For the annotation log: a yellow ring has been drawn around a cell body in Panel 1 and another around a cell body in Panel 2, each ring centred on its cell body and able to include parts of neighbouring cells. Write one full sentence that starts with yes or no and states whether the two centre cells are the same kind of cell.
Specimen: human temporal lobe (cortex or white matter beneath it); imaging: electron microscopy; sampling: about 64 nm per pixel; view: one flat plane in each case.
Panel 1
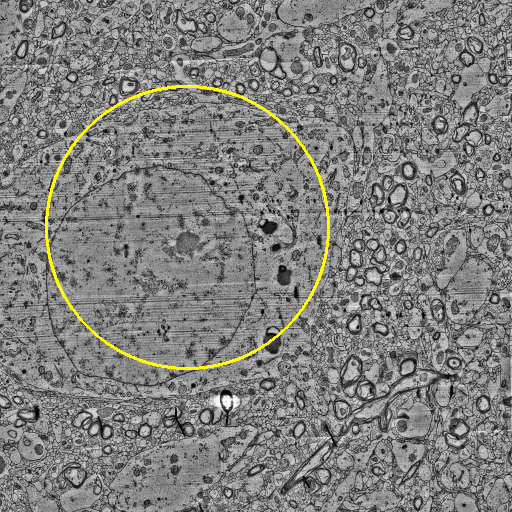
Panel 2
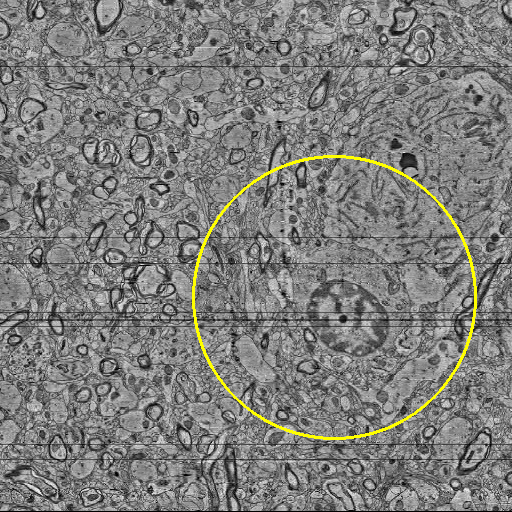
No, the two centre cells are two kinds of cell.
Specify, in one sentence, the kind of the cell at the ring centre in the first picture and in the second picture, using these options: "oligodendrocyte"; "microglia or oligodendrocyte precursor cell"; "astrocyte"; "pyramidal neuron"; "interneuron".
So the first is a pyramidal neuron, the second an oligodendrocyte.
